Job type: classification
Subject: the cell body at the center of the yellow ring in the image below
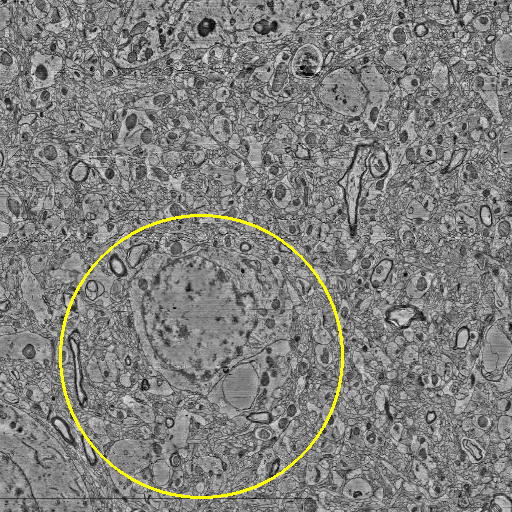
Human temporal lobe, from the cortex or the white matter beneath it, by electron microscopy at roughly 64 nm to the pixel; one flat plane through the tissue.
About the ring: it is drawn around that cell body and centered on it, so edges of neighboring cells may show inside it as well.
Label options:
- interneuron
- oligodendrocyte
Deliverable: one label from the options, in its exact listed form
interneuron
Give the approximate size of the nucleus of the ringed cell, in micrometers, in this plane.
The nucleus comes to roughly 8 micrometres across in this plane.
